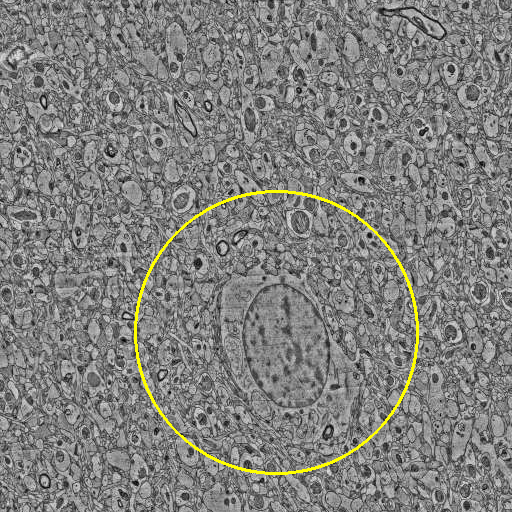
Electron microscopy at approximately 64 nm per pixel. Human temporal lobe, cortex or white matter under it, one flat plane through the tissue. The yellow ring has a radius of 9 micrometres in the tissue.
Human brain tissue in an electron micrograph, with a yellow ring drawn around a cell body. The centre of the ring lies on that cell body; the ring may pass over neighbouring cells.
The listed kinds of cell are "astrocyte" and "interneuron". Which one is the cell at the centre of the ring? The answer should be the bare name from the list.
astrocyte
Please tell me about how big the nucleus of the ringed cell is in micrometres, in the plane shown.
Approximately 8 micrometres long and 5 micrometres wide, in this plane.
